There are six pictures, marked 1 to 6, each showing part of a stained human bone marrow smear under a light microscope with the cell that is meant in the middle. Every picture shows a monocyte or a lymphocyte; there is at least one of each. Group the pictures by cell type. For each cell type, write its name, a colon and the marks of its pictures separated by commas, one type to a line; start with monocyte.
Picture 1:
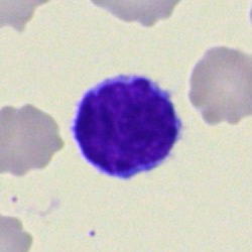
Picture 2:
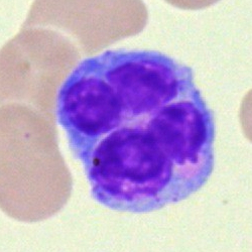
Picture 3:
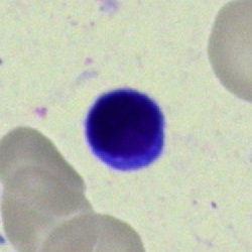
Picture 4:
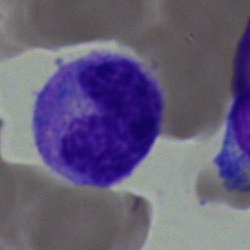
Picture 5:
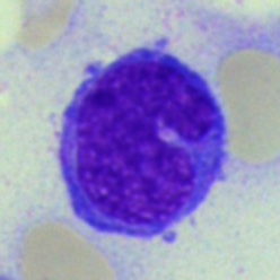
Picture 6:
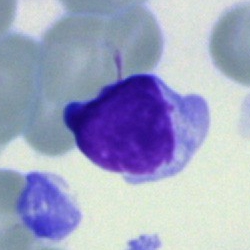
monocyte: 2, 4, 5
lymphocyte: 1, 3, 6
